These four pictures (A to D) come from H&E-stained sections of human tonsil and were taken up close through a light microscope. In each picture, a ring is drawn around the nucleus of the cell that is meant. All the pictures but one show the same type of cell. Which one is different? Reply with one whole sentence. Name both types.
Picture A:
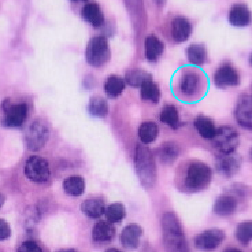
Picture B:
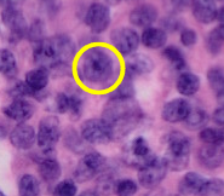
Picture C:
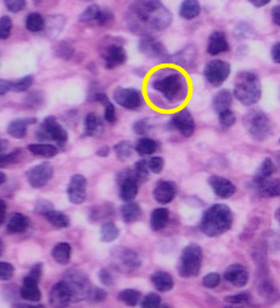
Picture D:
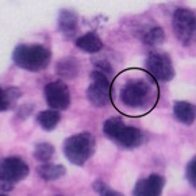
Picture A is the odd one out: it shows a plasma cell, while the others show proliferating B cells.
